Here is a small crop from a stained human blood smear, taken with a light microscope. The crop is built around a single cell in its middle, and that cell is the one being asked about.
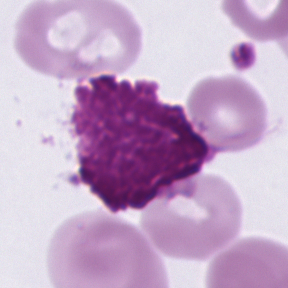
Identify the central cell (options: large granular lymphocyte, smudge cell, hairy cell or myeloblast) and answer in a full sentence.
The cell positioned in the middle of the field is a smudge cell.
